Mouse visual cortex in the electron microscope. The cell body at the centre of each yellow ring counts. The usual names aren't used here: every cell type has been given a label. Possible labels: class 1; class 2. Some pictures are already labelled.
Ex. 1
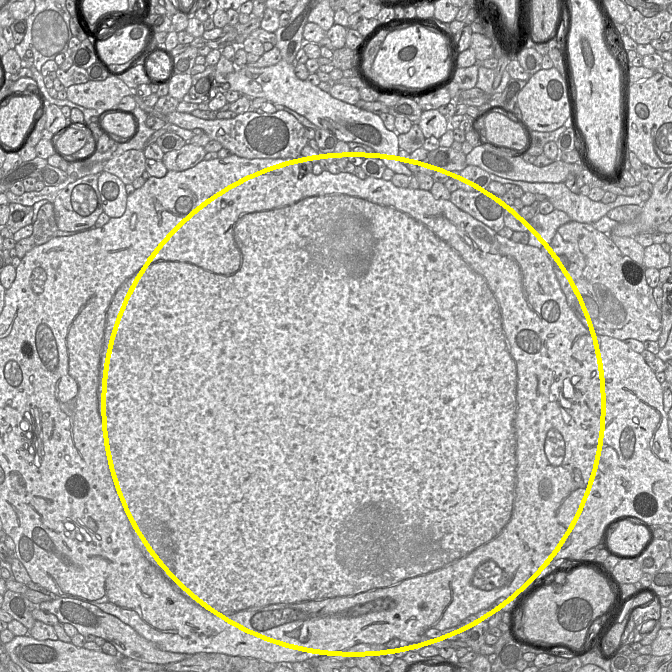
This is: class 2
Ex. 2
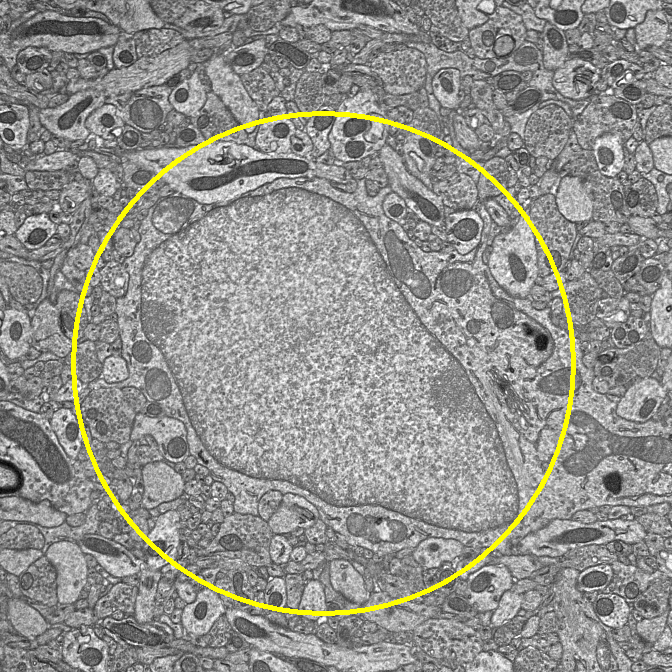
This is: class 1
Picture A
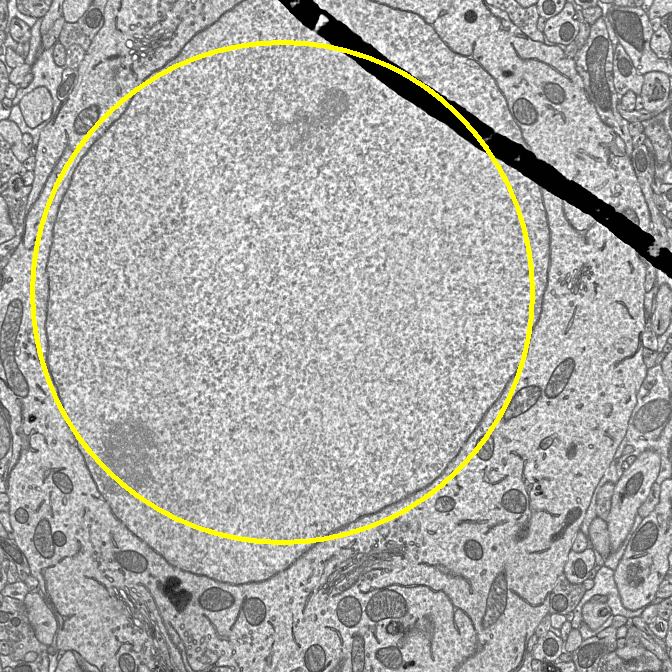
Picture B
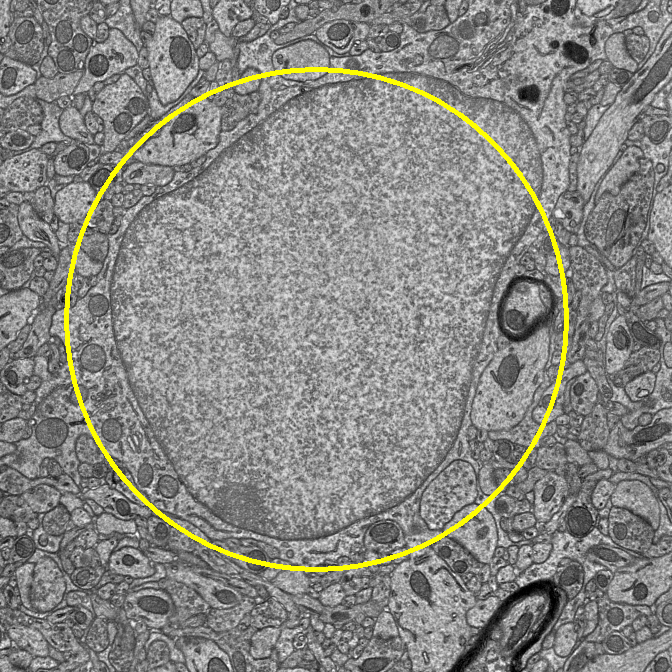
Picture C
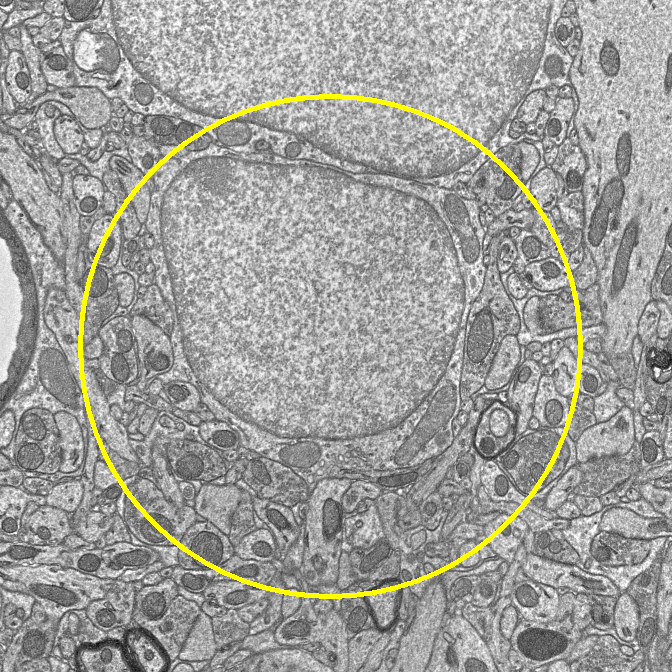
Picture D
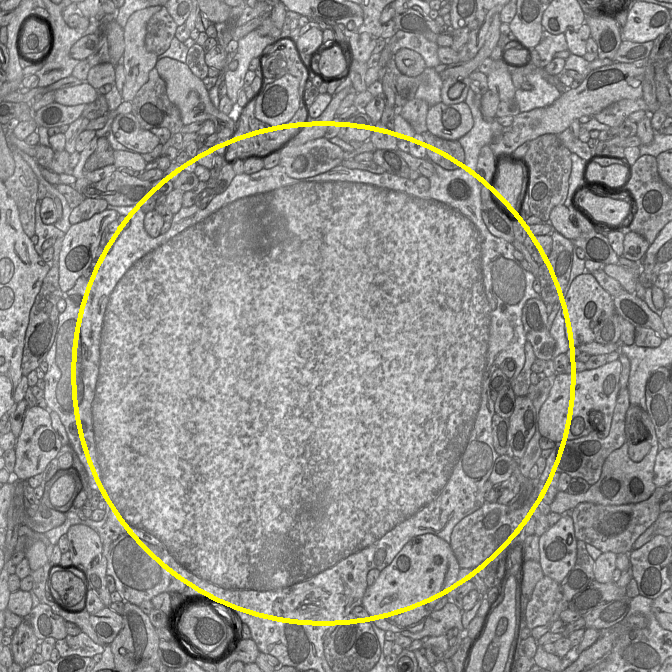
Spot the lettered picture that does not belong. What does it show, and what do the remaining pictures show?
Picture A: class 2. All others: class 1.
